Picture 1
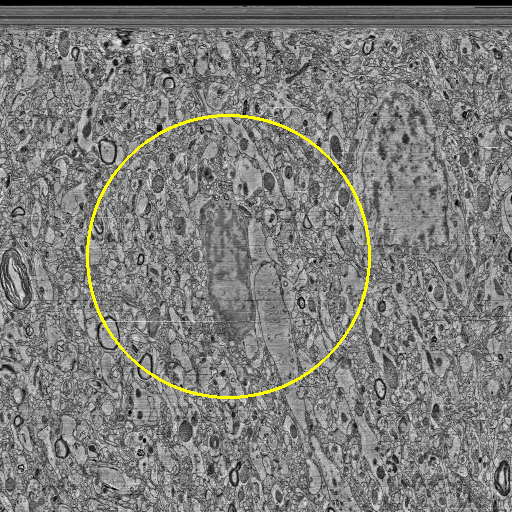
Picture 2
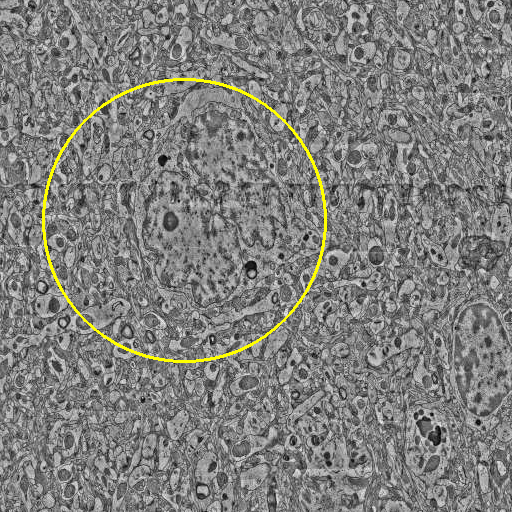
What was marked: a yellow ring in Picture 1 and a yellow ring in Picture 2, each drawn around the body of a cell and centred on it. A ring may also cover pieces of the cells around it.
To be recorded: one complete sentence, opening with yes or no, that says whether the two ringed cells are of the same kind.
No, the two ringed cells are of two kinds.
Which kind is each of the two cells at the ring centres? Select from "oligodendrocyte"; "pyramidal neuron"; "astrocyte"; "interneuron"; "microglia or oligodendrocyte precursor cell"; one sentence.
The cell at the centre of the ring is an oligodendrocyte in the first picture and an interneuron in the second.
